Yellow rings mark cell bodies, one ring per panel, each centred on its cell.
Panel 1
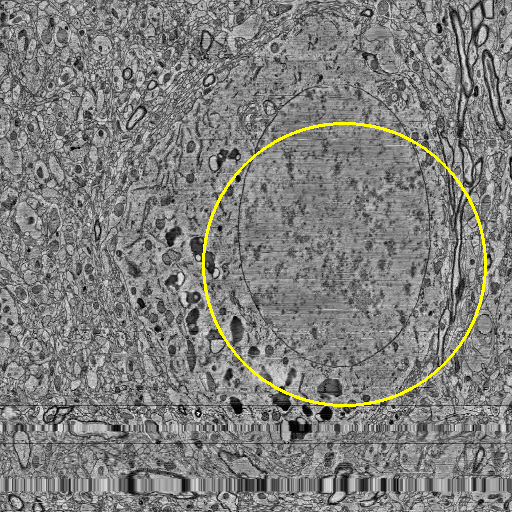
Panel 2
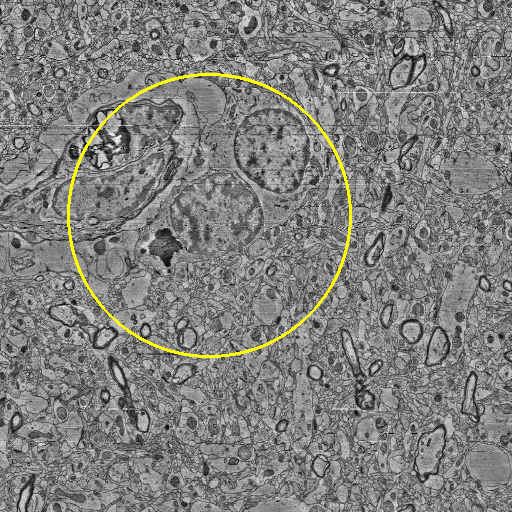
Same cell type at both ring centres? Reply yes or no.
no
